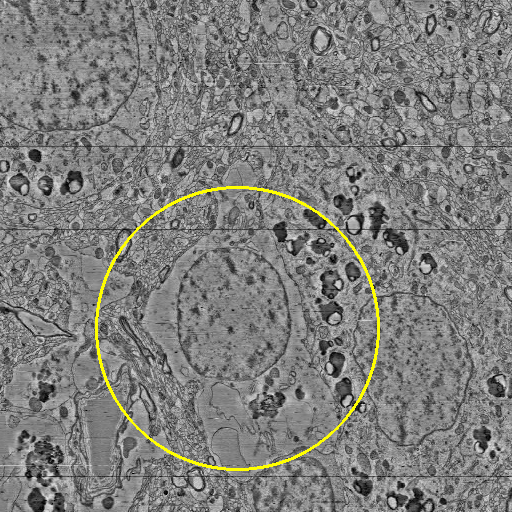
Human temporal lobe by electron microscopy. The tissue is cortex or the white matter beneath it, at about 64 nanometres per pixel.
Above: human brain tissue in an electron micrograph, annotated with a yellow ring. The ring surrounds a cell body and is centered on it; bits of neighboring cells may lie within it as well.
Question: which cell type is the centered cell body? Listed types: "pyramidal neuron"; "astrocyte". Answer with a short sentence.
The centered cell body is an astrocyte.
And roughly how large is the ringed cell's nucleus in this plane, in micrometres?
Roughly 9 by 8 micrometres in this plane, for the nucleus of the ringed cell.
